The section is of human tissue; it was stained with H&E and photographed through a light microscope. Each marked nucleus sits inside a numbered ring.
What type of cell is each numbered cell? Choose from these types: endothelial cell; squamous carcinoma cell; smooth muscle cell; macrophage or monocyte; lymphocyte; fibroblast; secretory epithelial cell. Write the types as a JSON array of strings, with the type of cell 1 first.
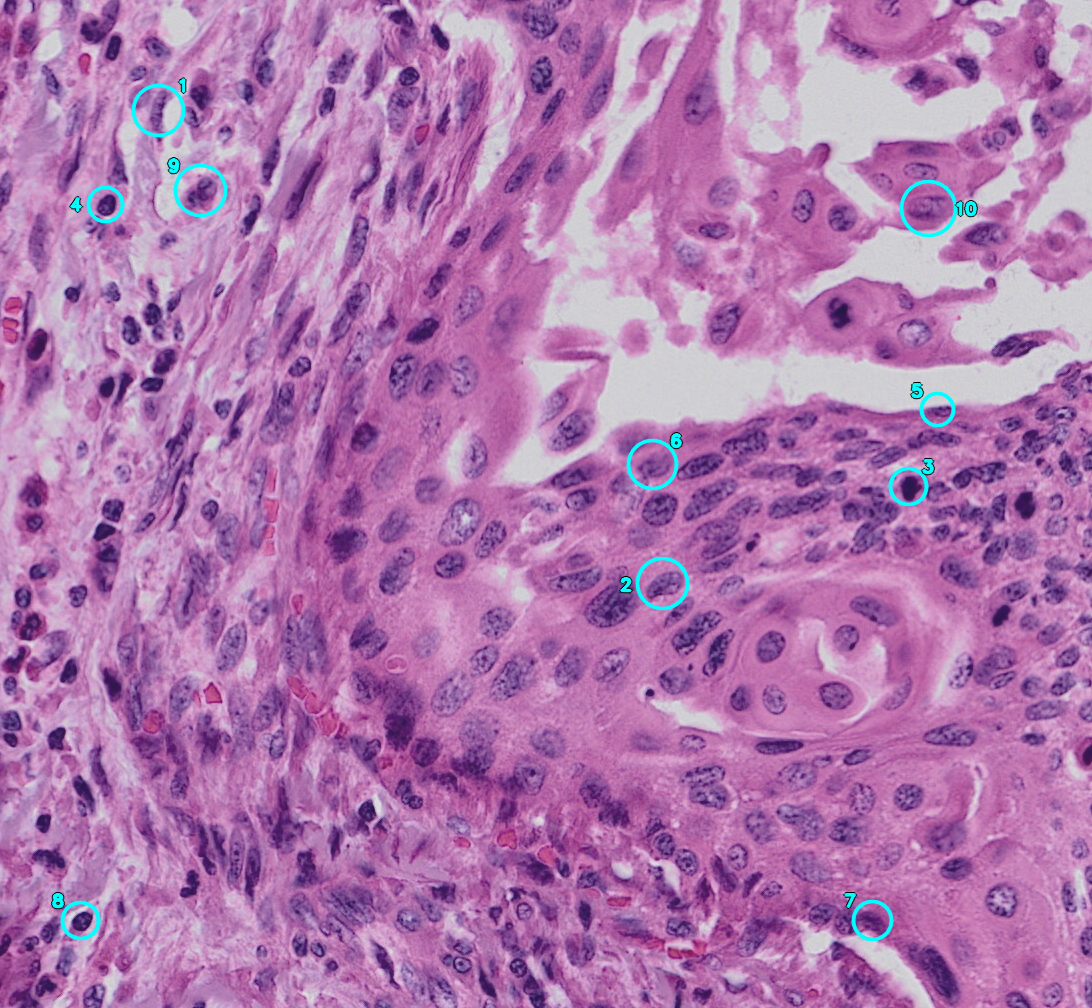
["fibroblast", "squamous carcinoma cell", "squamous carcinoma cell", "lymphocyte", "squamous carcinoma cell", "squamous carcinoma cell", "squamous carcinoma cell", "lymphocyte", "macrophage or monocyte", "squamous carcinoma cell"]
